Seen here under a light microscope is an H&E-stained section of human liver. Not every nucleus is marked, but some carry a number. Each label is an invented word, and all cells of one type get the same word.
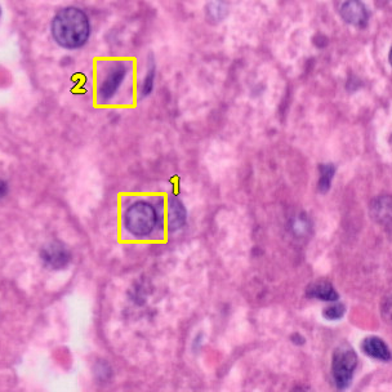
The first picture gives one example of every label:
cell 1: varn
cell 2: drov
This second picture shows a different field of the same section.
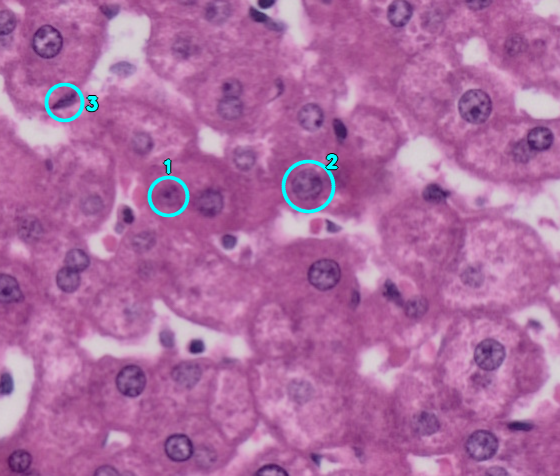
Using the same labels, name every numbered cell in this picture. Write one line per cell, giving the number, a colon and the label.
1: varn
2: varn
3: drov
